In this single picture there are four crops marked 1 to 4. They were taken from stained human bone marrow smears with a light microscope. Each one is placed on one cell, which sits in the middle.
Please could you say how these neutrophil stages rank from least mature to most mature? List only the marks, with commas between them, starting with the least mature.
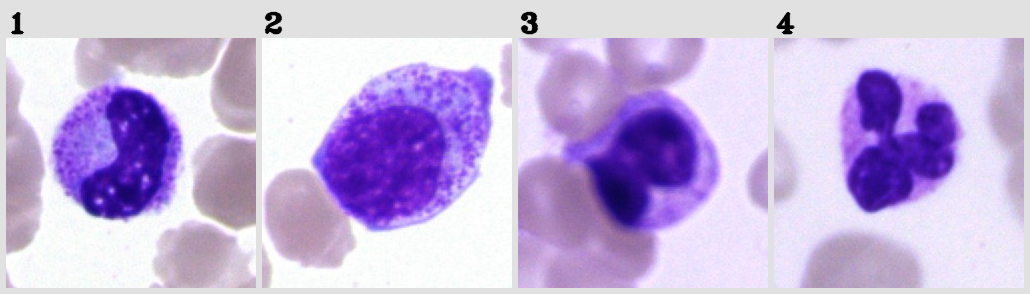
2, 3, 1, 4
